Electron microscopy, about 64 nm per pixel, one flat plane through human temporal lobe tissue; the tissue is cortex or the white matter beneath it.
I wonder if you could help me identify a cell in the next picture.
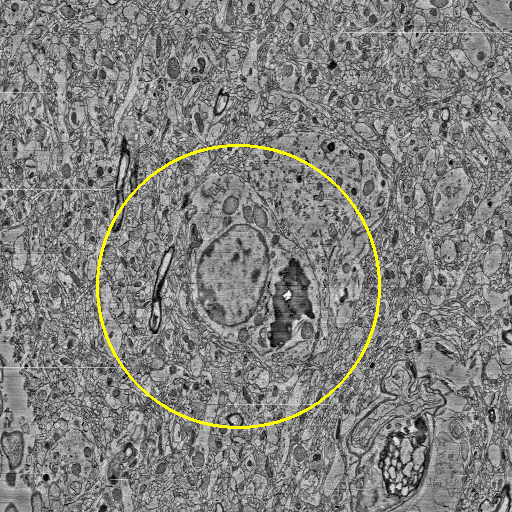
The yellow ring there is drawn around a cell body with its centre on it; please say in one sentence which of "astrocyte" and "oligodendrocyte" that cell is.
The yellow ring is centred on an astrocyte.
